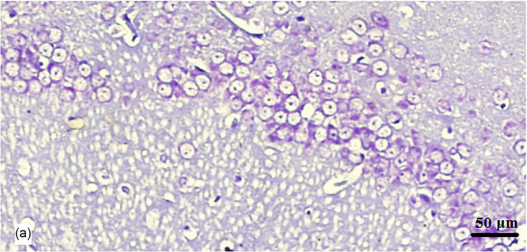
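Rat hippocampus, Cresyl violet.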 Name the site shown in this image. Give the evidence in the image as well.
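A band of several rows of closely packed round neurons crosses the panel. Neurons have pale round nuclei with a distinct dark nucleolus. So: cornu ammonis region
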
